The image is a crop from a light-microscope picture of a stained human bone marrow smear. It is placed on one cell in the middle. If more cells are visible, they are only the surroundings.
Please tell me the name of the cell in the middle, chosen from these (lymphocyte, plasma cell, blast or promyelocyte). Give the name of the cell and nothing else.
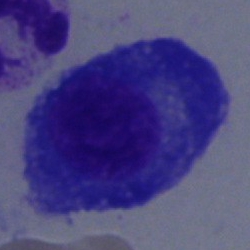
plasma cell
